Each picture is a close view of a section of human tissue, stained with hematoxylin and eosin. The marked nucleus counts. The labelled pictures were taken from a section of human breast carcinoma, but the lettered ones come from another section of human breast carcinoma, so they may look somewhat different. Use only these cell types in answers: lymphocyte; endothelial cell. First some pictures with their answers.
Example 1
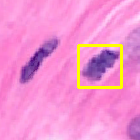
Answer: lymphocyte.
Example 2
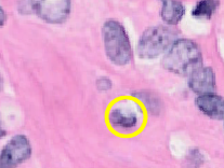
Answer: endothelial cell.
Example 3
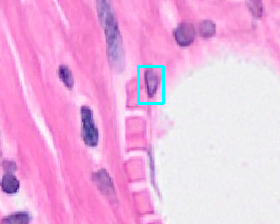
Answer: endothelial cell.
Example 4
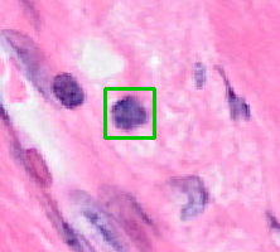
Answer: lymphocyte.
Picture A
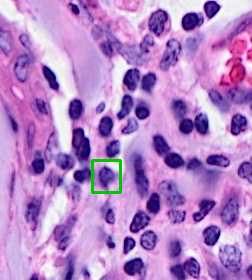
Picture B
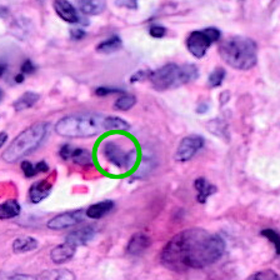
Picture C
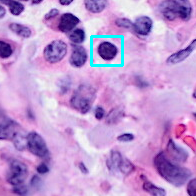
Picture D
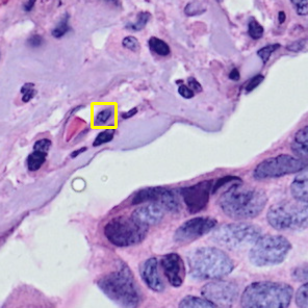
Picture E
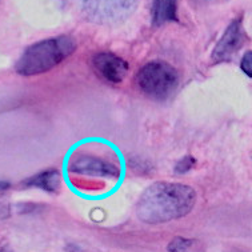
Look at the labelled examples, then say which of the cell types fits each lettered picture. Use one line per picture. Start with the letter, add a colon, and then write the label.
A: lymphocyte.
B: endothelial cell.
C: lymphocyte.
D: endothelial cell.
E: endothelial cell.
